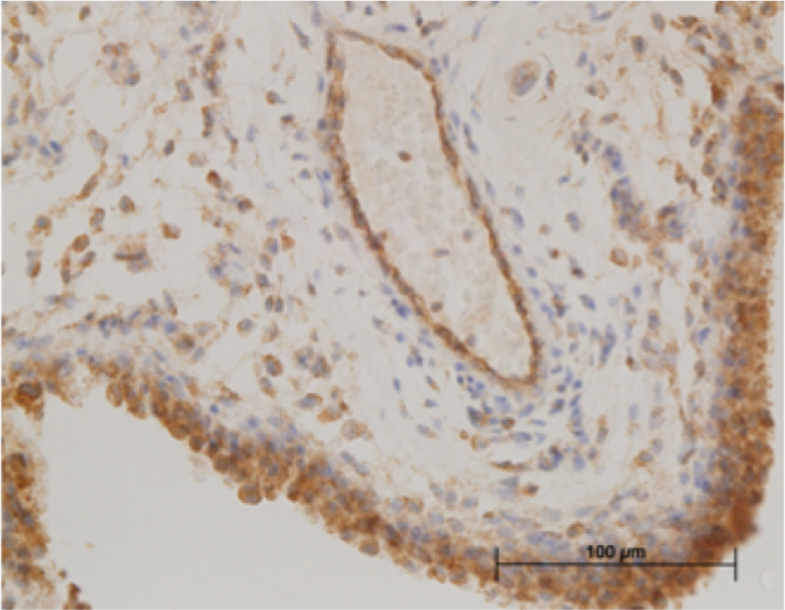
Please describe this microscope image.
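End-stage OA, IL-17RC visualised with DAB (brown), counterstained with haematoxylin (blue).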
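This is synovium, with a lining layer several cells thick along the free surface whose rounded cells are strongly brown. Beneath it lies looser connective tissue with scattered spindle-shaped and stellate cells, many also brown, and a blood vessel whose wall is outlined in brown.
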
